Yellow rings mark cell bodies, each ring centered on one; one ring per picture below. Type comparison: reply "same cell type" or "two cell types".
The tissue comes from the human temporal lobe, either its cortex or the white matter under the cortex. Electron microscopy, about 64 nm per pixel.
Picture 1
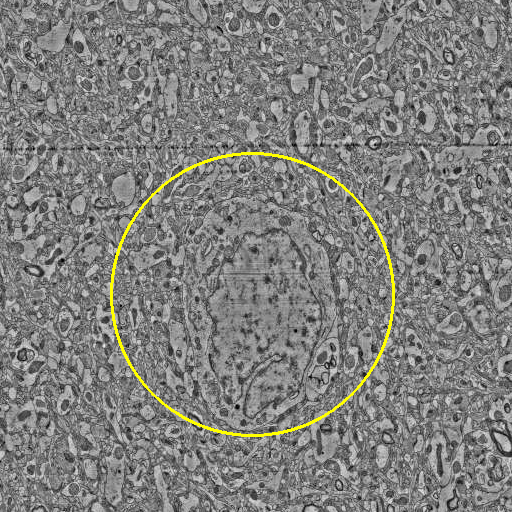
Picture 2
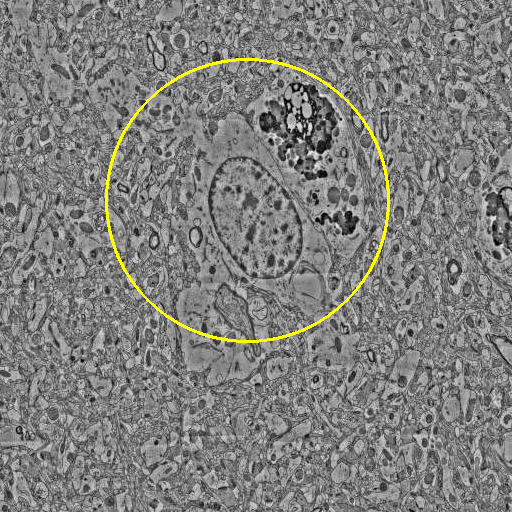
two cell types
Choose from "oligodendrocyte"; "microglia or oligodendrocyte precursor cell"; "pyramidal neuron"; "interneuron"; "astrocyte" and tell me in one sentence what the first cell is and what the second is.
What the first ring is centred on is an interneuron; what the second ring is centred on is an astrocyte.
